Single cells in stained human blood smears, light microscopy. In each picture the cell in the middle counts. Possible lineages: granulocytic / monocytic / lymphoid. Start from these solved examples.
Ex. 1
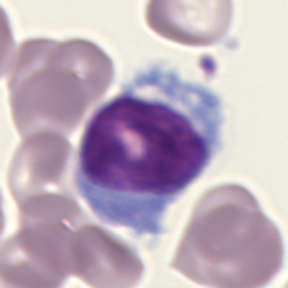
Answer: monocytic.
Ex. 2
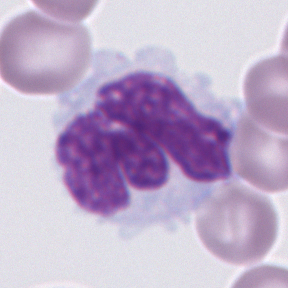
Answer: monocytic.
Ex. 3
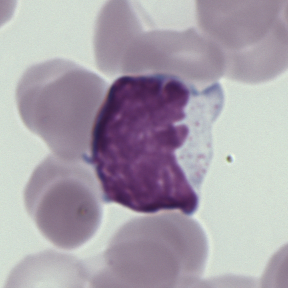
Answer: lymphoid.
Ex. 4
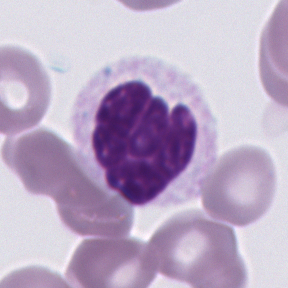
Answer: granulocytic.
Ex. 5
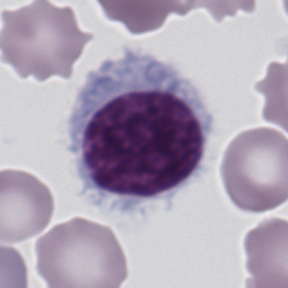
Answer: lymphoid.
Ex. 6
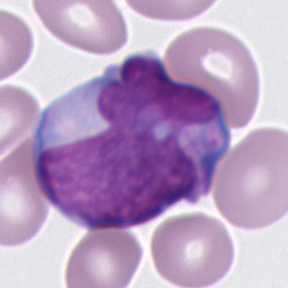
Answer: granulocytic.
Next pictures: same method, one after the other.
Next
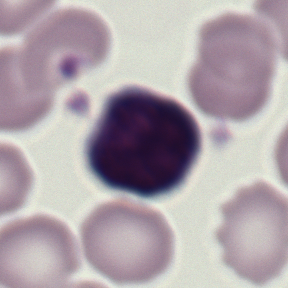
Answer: lymphoid.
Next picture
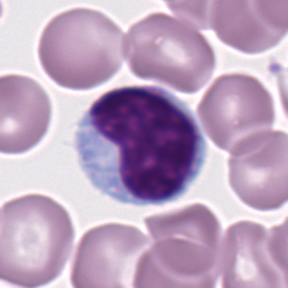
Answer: lymphoid.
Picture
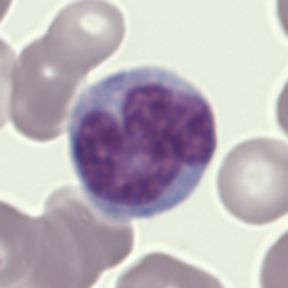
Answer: monocytic.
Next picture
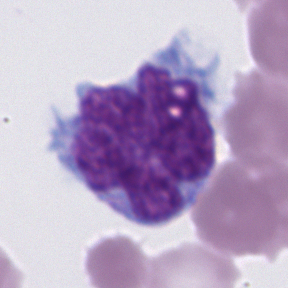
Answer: monocytic.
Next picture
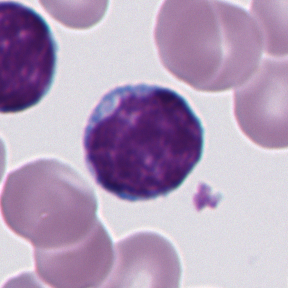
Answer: lymphoid.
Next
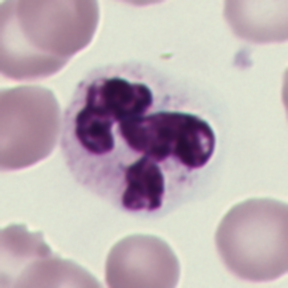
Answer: granulocytic.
